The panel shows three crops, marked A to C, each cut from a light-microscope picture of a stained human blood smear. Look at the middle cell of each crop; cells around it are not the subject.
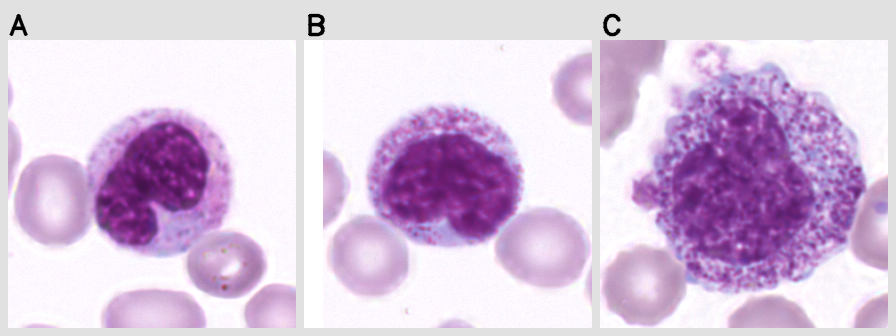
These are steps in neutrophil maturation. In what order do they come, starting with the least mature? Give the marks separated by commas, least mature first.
C, B, A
